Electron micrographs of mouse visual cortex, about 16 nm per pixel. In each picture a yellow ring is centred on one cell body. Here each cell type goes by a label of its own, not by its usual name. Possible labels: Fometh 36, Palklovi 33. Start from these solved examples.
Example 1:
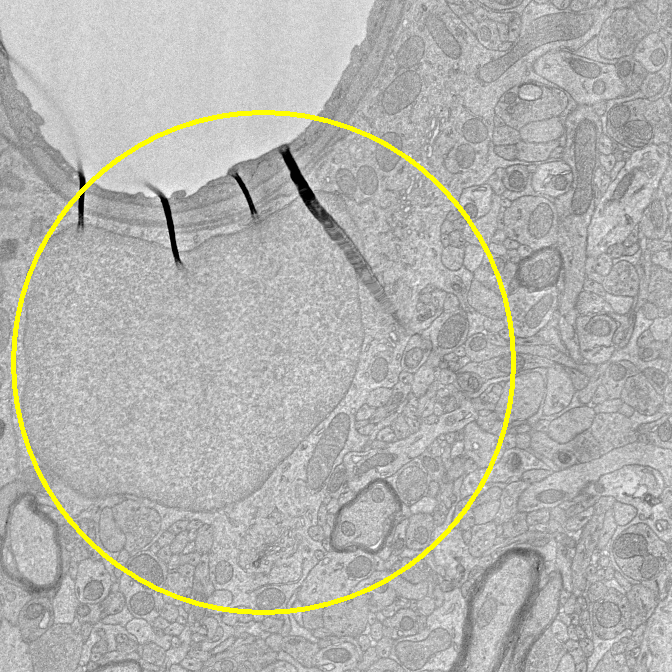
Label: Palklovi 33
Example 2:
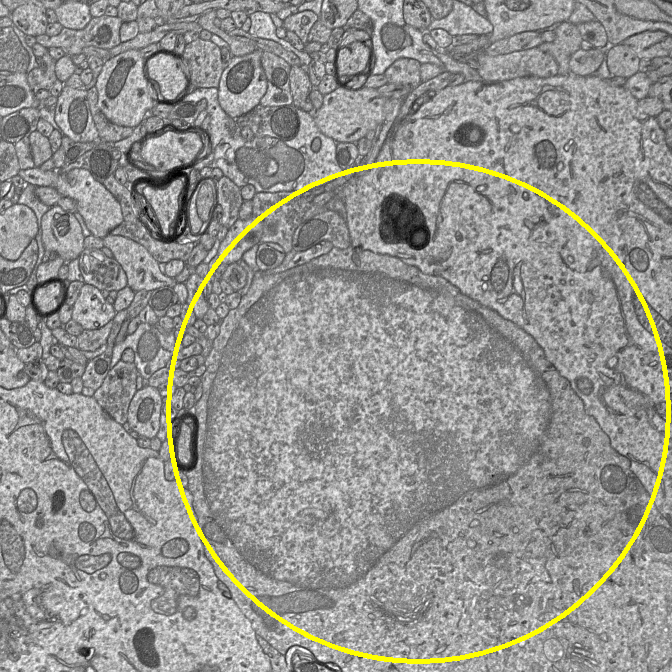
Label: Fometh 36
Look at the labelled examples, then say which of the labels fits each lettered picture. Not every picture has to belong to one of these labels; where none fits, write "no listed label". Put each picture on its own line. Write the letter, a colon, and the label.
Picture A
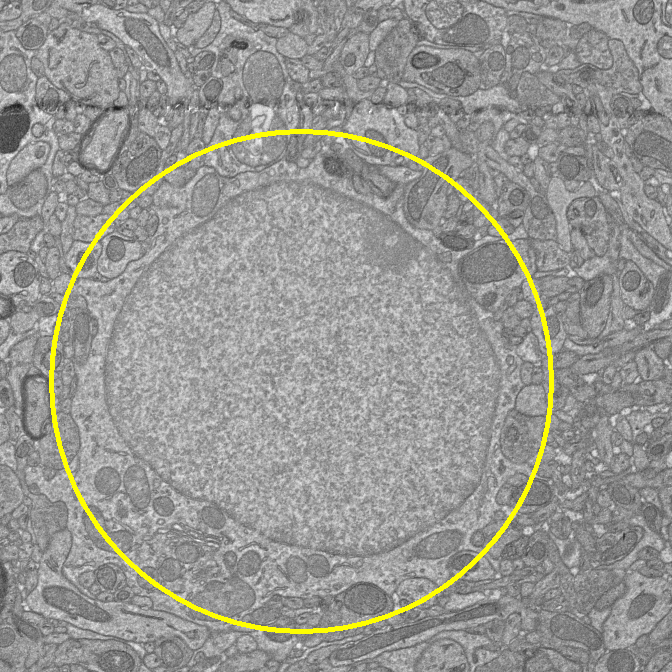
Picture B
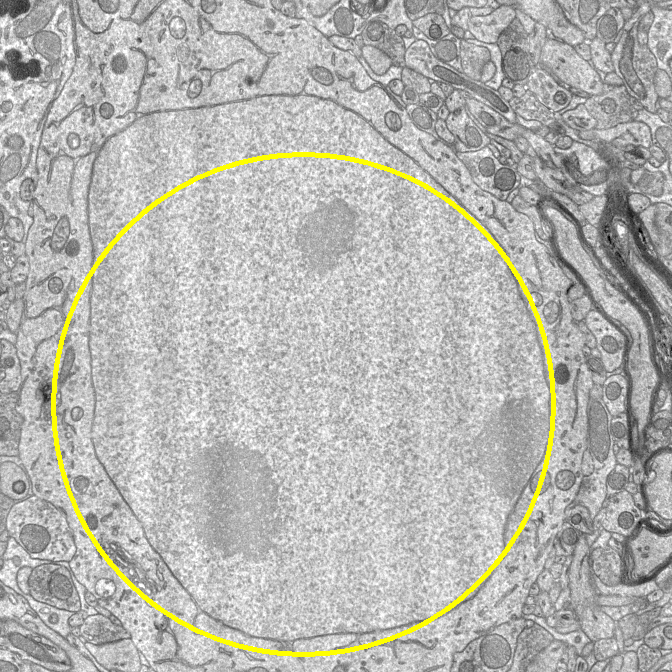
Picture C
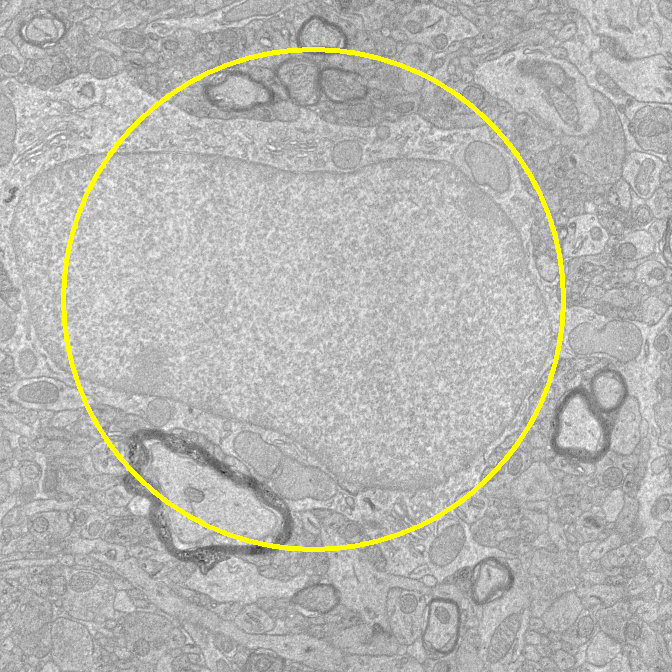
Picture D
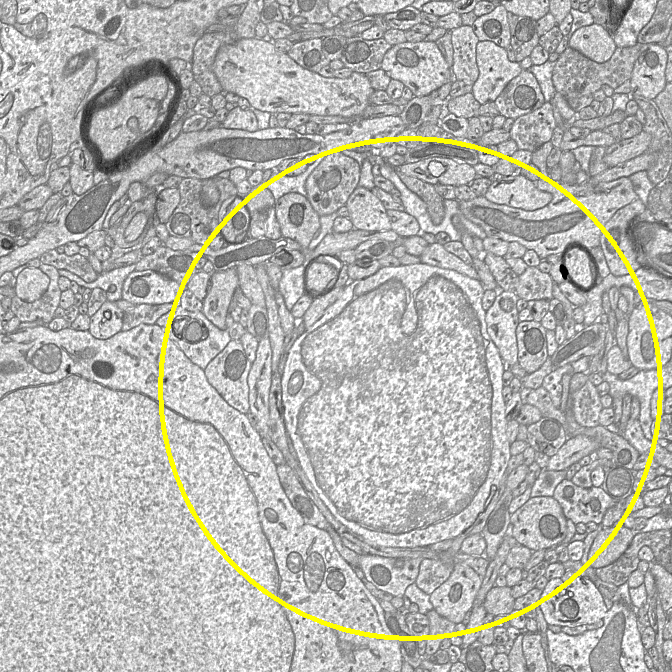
A: Palklovi 33
B: no listed label
C: Palklovi 33
D: Fometh 36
